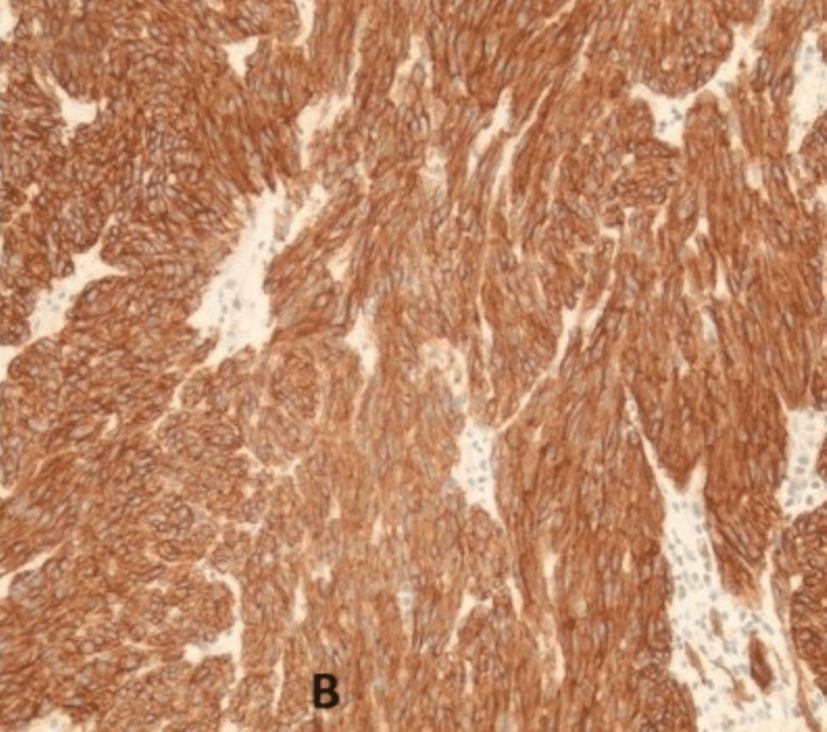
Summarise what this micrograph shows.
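This is a densely cellular tumour of spindle-shaped cells arranged in long, sweeping fascicles, diffusely stained deep brown. The brown colour is strongest along the cell borders, so the packed cells form a fine honeycomb-like mesh with paler grey-blue oval nuclei inside. Narrow clefts of pale stroma with small unstained bluish nuclei run between the fascicles. Where fascicles are cut across, the cells look rounded, and where cut lengthwise they look elongated and streaming.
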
